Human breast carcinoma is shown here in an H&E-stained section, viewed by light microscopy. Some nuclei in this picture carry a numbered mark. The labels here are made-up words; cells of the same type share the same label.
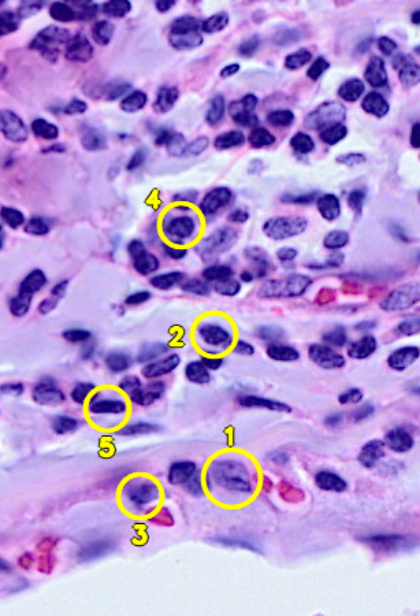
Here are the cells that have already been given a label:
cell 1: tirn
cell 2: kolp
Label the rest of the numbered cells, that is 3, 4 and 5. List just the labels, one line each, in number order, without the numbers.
tirn
kolp
kolp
